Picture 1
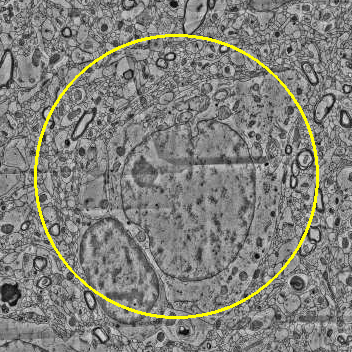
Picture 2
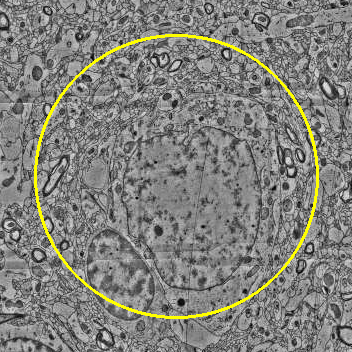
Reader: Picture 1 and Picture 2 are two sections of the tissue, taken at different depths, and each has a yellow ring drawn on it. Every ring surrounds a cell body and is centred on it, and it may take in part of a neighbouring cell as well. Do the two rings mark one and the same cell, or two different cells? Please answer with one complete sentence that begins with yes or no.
Yes, both rings are placed on a single cell.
